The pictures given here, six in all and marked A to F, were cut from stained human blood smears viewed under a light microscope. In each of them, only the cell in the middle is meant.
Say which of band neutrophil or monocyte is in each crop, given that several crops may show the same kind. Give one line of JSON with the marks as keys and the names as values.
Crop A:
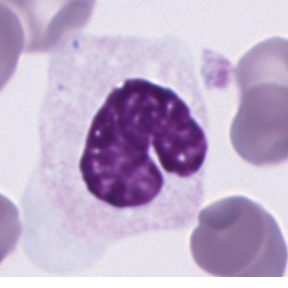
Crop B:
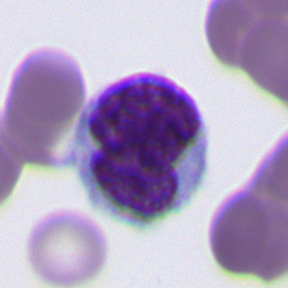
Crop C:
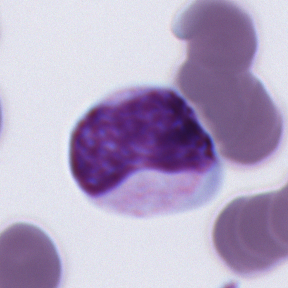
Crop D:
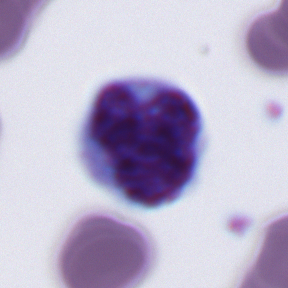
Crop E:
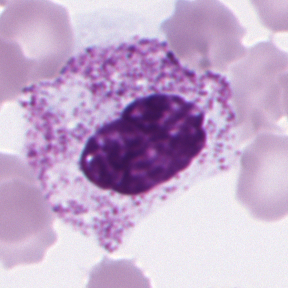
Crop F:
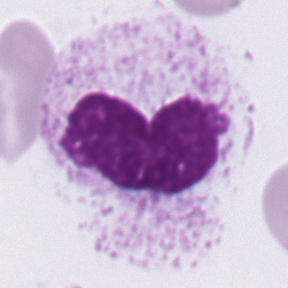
{"A": "band neutrophil", "B": "monocyte", "C": "band neutrophil", "D": "monocyte", "E": "band neutrophil", "F": "band neutrophil"}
